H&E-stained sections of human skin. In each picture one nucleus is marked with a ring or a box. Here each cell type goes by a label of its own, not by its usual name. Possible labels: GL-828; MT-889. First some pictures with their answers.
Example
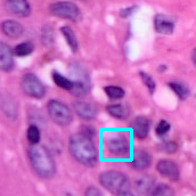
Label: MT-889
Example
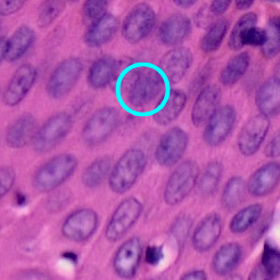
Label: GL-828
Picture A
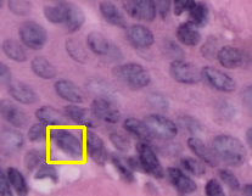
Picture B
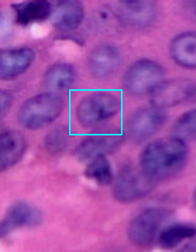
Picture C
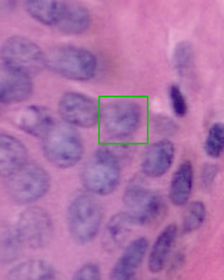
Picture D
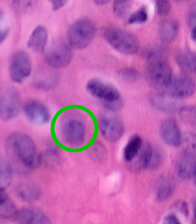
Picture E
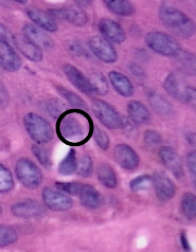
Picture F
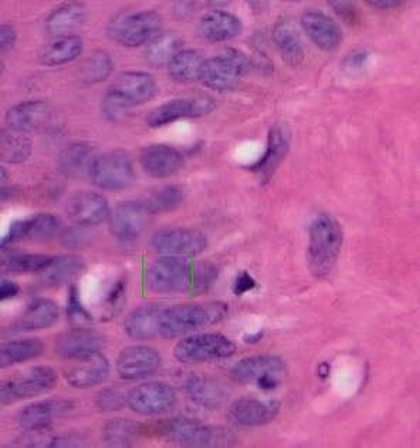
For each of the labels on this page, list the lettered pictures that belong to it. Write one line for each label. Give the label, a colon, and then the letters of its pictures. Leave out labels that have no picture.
MT-889: A, B, C, D, E, F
